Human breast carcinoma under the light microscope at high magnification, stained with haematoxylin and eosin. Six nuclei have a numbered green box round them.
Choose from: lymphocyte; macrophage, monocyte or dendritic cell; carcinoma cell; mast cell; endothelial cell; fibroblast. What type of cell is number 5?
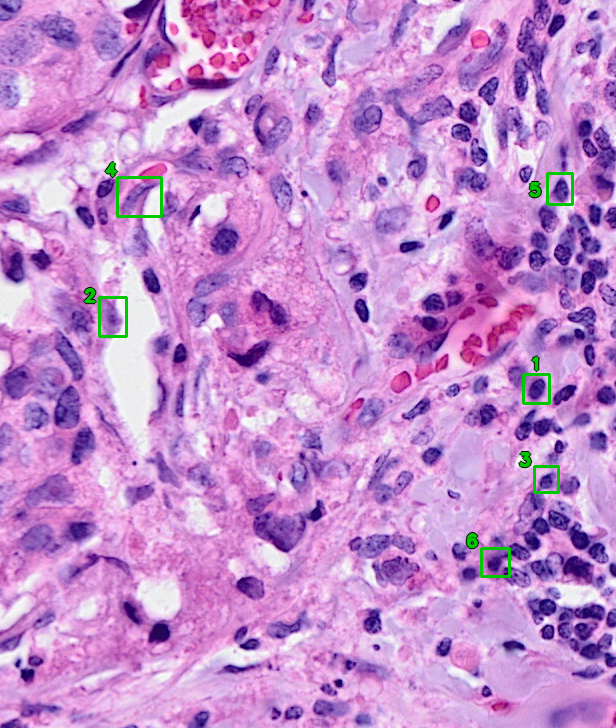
lymphocyte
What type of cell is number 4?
endothelial cell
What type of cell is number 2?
fibroblast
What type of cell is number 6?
lymphocyte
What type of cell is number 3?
lymphocyte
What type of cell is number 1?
lymphocyte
